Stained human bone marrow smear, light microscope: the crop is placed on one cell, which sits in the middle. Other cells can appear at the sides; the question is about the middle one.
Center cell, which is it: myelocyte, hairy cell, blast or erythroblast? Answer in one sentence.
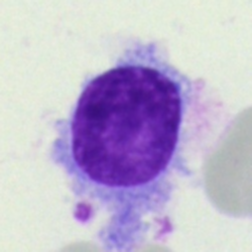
The cell found in the middle of this crop is a hairy cell.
